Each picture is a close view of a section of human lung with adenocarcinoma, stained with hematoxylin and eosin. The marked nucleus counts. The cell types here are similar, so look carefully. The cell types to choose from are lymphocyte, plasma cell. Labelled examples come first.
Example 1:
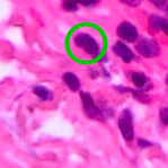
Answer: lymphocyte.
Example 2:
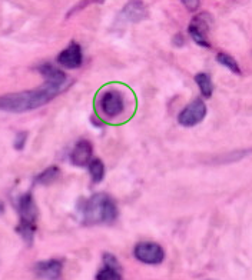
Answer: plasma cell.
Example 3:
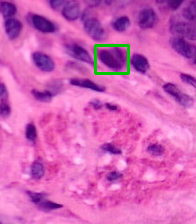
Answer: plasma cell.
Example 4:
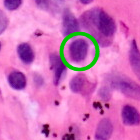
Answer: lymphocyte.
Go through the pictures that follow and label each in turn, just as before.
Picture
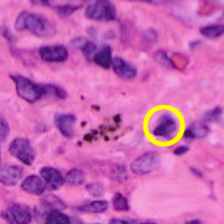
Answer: lymphocyte.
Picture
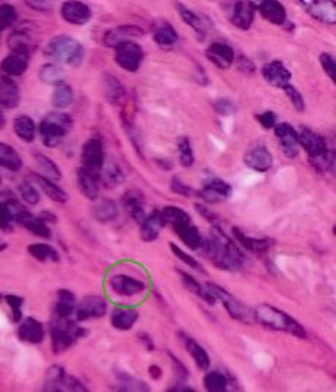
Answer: lymphocyte.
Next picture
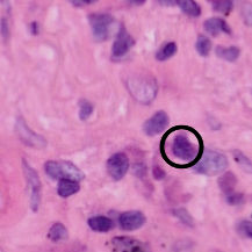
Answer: plasma cell.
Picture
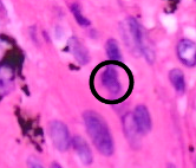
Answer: plasma cell.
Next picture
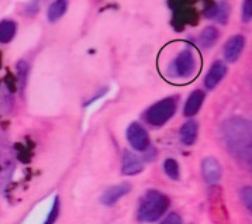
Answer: lymphocyte.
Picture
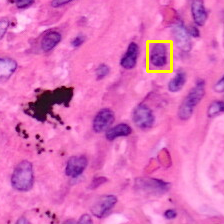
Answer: plasma cell.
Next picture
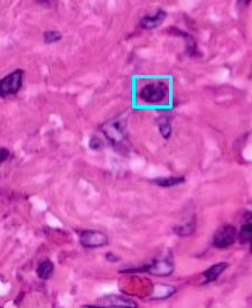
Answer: plasma cell.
